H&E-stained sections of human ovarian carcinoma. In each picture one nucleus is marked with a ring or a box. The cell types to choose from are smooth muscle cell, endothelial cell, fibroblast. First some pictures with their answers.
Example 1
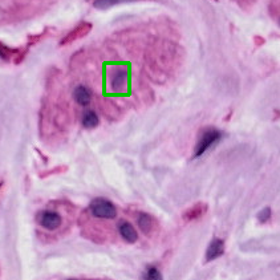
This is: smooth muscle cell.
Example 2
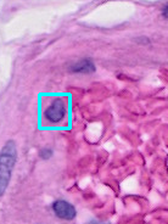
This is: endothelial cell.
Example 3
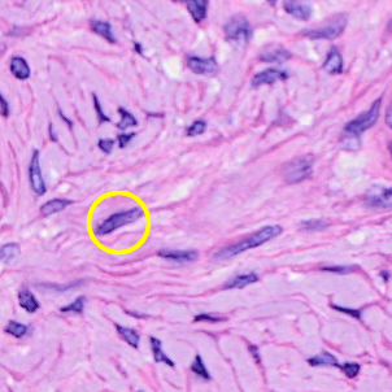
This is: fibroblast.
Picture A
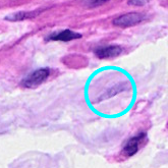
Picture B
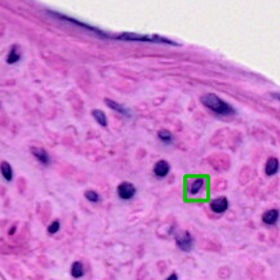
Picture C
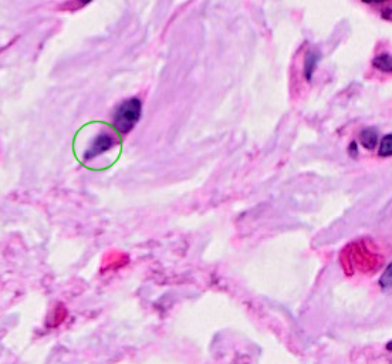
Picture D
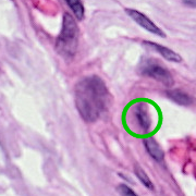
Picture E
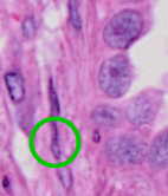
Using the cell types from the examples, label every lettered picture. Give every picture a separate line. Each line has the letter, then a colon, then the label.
A: fibroblast.
B: smooth muscle cell.
C: fibroblast.
D: endothelial cell.
E: fibroblast.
